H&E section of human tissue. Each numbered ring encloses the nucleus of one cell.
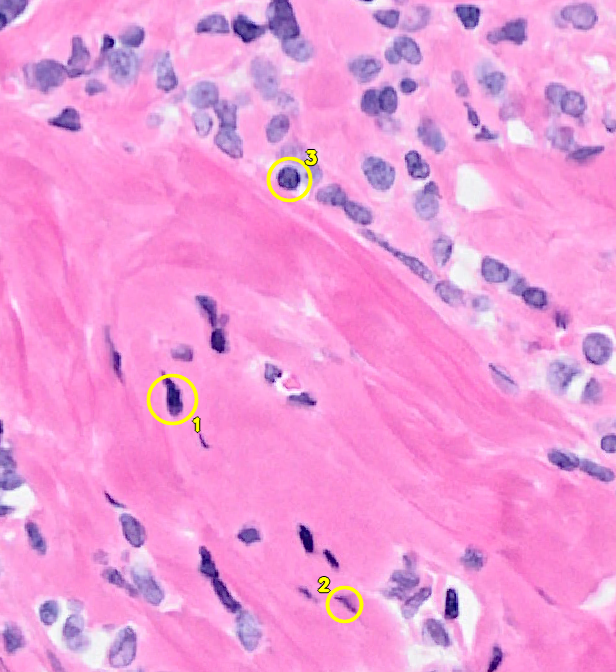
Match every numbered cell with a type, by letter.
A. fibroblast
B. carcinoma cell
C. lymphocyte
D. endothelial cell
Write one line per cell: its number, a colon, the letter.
1: C
2: A
3: C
